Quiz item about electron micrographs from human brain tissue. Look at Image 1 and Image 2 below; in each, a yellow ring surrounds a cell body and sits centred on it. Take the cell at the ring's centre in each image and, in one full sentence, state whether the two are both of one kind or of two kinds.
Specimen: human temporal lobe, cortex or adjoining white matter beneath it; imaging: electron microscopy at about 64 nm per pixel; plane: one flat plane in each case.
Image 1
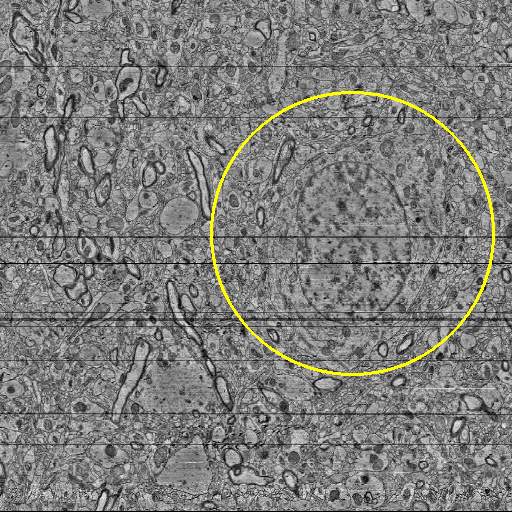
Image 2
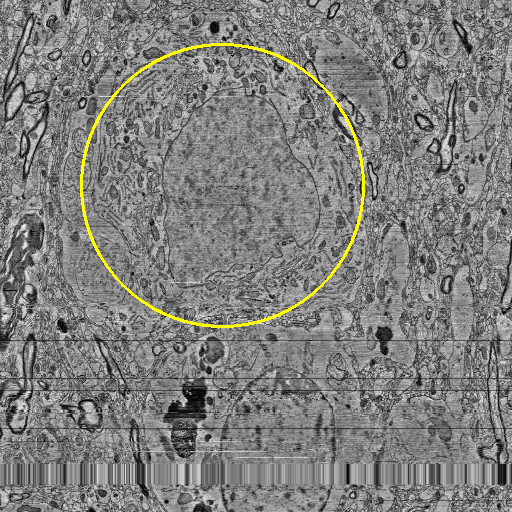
In Image 1 and Image 2, the cells at the ring centres are both of one kind.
